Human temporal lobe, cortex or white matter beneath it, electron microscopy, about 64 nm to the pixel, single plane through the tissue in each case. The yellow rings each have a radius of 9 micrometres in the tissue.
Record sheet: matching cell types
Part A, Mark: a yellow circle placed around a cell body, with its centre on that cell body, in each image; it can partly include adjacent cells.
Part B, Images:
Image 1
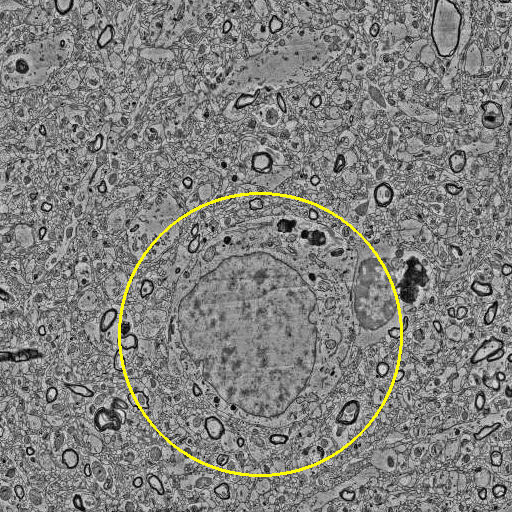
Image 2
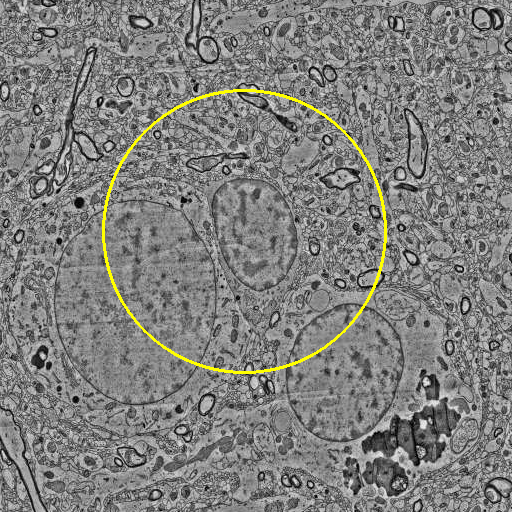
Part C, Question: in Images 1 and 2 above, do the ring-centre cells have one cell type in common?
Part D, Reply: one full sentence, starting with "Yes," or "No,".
No, the ring-centre cells of Image 1 and Image 2 are each of a separate cell type.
